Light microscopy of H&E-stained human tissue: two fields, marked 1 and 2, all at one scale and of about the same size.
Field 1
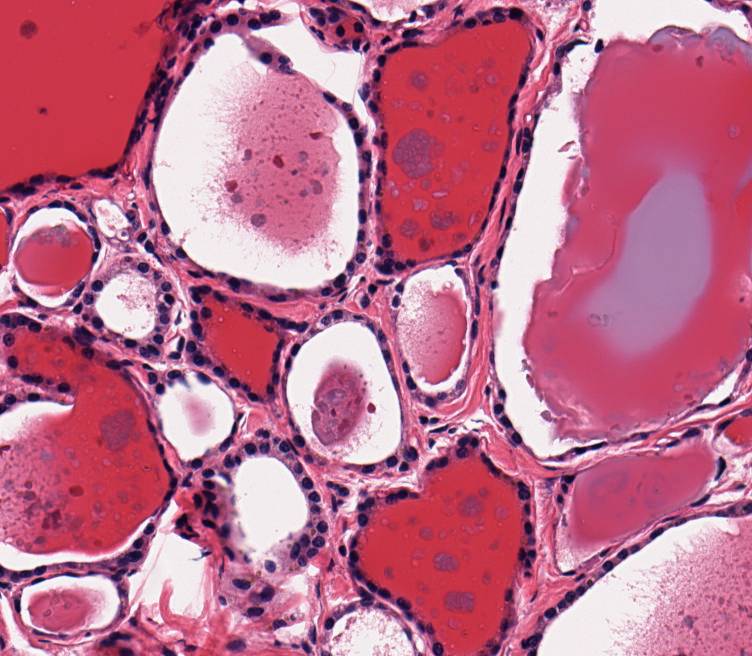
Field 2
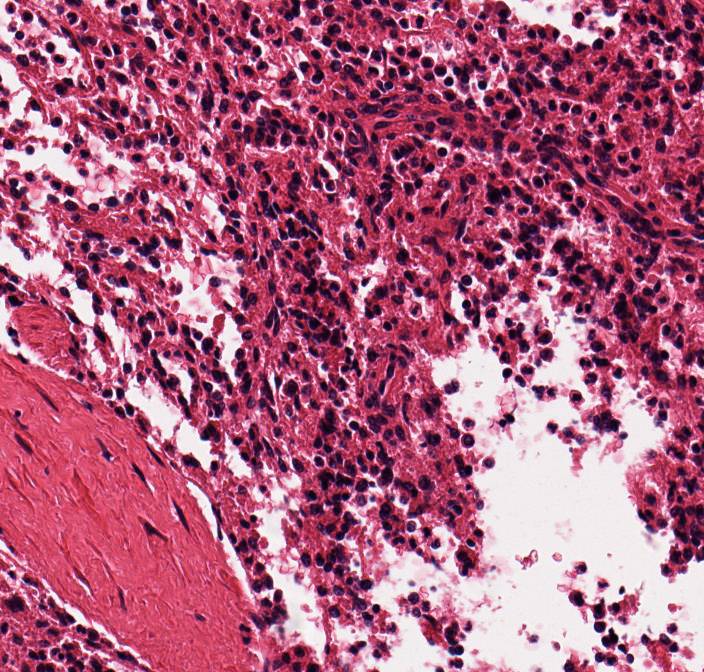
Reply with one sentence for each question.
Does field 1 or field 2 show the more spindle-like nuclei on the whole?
Longer, more slender nuclei lie in field 1.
